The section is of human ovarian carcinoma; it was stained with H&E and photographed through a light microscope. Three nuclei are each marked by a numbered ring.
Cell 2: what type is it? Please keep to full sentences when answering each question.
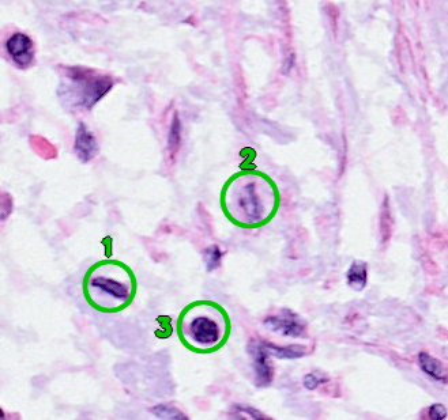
To a fibroblast belongs the nucleus marked 2.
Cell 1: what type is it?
Corresponding to a fibroblast is the cell labelled 1.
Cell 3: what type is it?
Cell 3 should be recorded as a lymphocyte.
